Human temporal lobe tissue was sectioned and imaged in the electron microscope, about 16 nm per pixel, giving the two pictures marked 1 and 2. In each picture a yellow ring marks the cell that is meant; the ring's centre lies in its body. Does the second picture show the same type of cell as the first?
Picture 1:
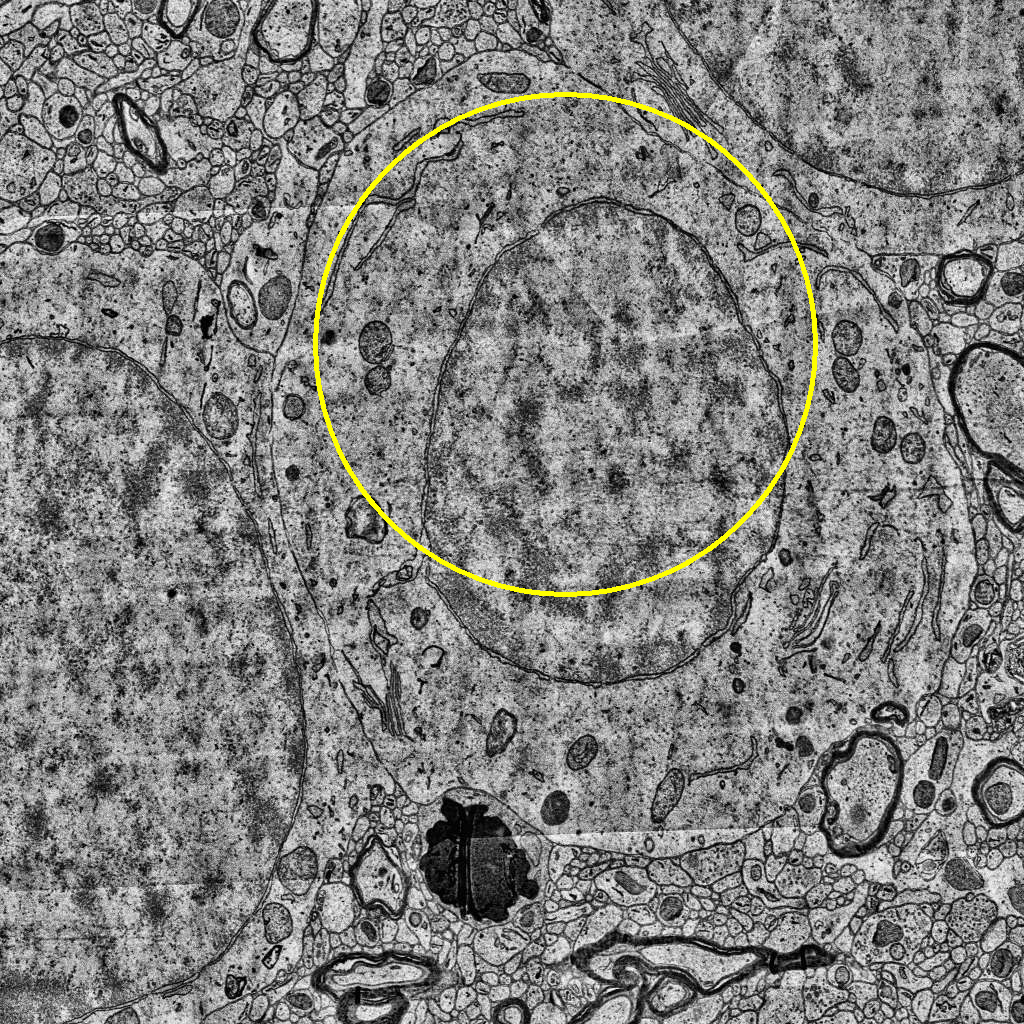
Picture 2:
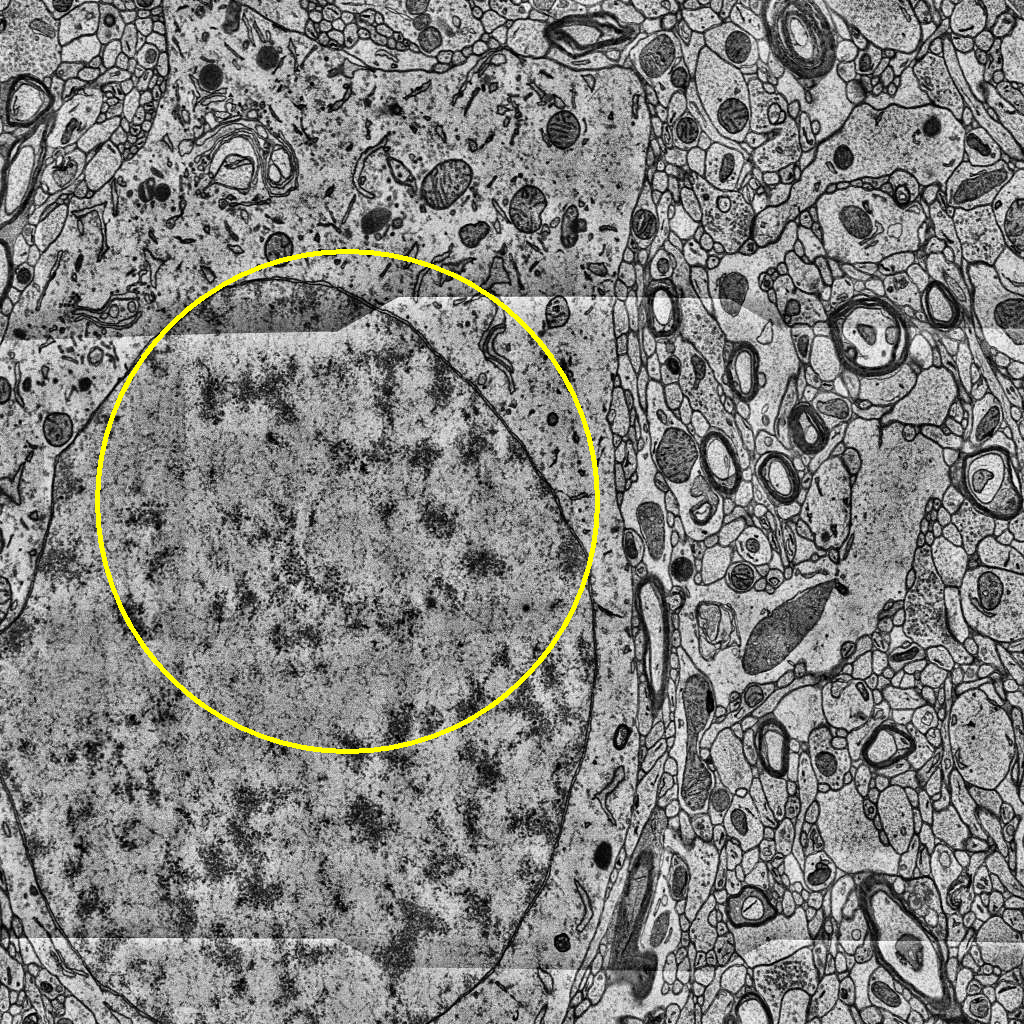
Yes, they are the same type: both are pyramidal neurons.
